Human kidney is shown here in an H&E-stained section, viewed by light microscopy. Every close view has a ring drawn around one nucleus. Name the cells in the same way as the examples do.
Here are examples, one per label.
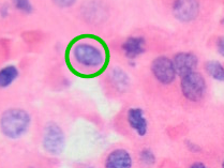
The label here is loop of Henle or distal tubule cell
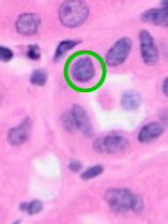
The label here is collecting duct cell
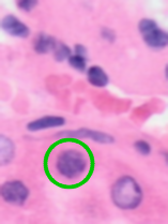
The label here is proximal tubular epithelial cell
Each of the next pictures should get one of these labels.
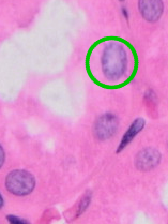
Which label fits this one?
proximal tubular epithelial cell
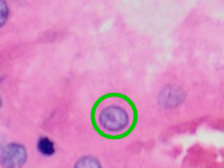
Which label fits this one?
proximal tubular epithelial cell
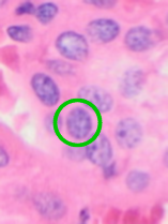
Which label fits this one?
collecting duct cell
